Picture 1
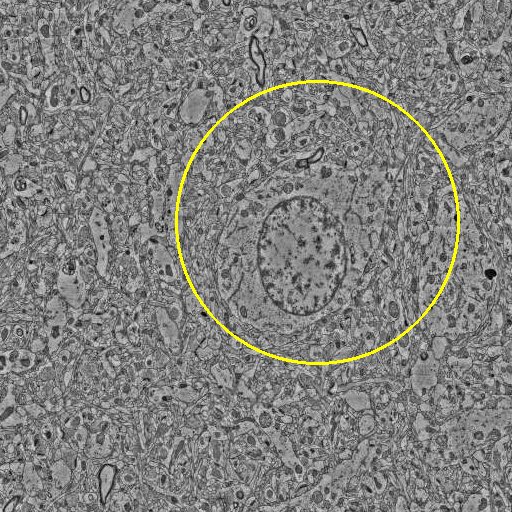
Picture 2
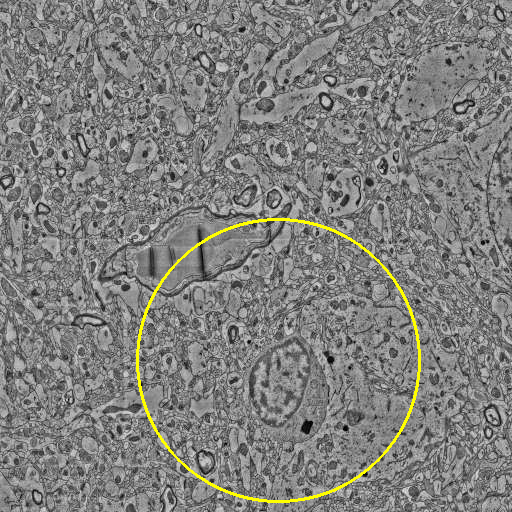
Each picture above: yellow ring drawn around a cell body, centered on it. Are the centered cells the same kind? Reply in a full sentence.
No, the two cells are two kinds of cell.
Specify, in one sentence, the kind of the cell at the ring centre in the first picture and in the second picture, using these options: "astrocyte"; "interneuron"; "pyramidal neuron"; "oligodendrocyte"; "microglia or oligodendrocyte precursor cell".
So the first is a pyramidal neuron, the second an oligodendrocyte.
